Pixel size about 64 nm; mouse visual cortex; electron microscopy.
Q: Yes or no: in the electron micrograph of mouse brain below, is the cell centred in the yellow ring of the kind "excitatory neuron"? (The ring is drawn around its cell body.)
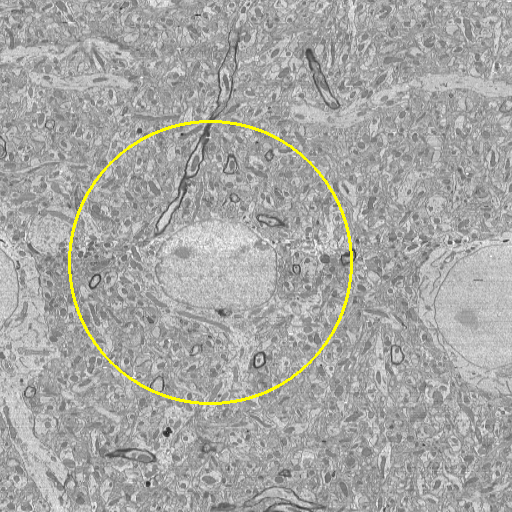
no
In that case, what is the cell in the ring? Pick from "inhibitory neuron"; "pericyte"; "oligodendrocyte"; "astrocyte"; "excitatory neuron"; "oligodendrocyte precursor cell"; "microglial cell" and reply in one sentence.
The cell this ring marks is an astrocyte.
